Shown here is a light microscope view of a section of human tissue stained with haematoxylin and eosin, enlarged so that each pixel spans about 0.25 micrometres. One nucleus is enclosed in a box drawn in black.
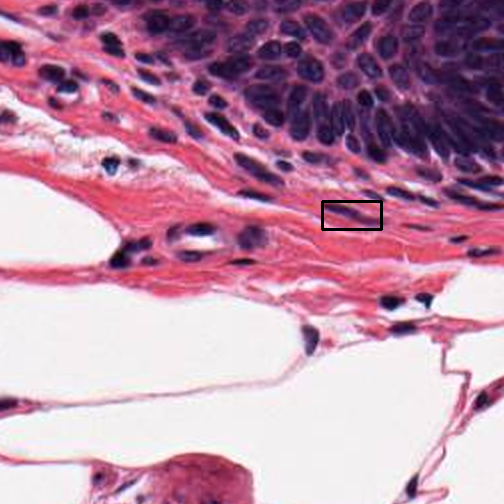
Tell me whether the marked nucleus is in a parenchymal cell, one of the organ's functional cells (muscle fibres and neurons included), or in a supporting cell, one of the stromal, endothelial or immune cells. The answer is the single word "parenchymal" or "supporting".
supporting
